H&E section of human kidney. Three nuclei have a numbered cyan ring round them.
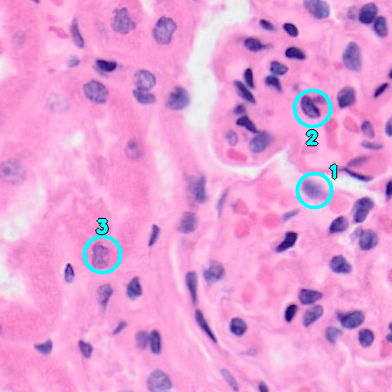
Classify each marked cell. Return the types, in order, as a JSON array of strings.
["endothelial cell", "endothelial cell", "proximal tubule cell"]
